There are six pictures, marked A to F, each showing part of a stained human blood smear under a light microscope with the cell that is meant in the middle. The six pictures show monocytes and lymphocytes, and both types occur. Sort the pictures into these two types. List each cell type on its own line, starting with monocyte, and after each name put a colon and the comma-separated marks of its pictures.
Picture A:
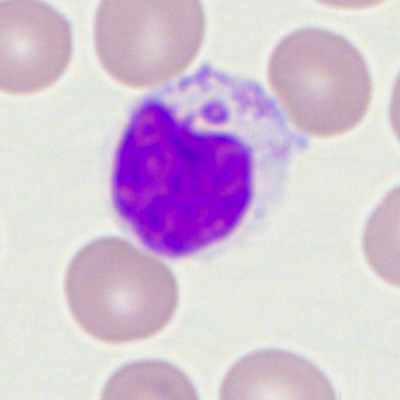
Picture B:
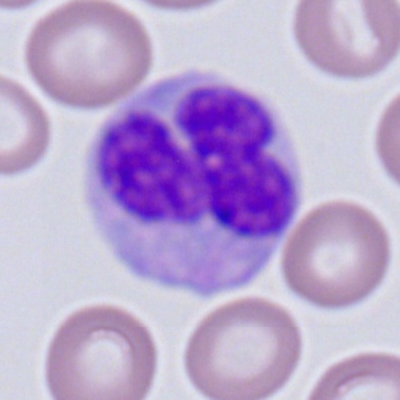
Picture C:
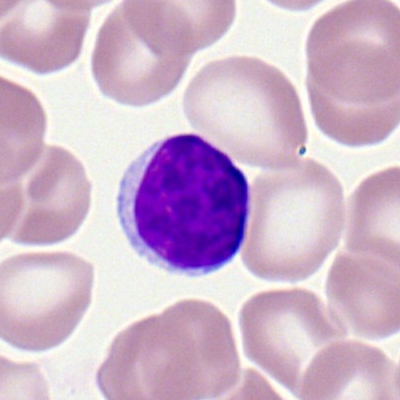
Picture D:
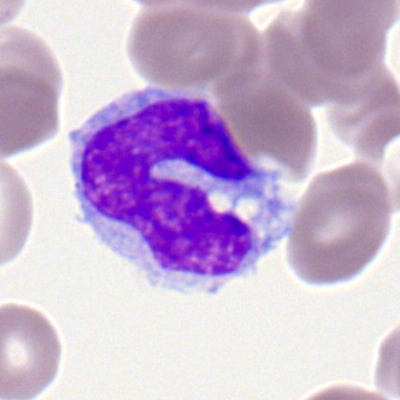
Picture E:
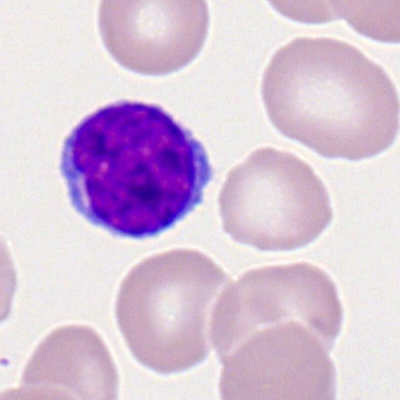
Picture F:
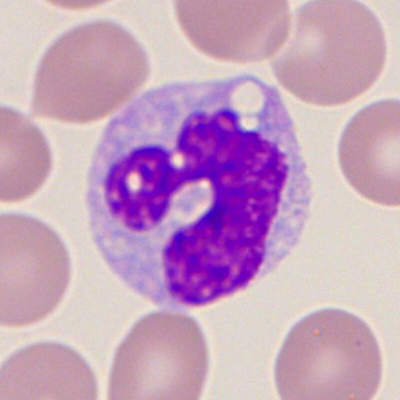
monocyte: B, D, F
lymphocyte: A, C, E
